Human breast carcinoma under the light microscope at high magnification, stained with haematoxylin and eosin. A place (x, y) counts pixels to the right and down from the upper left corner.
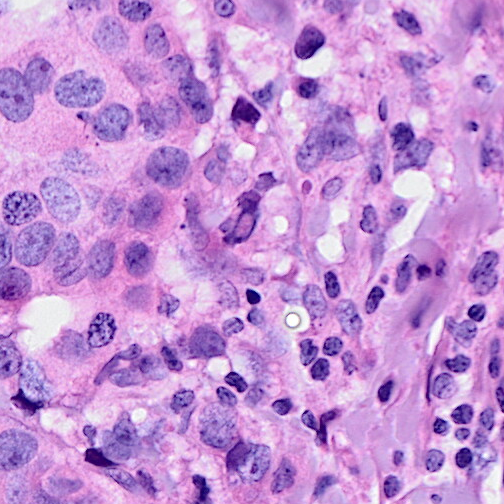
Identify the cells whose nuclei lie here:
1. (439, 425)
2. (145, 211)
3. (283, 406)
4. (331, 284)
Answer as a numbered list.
1. lymphocyte
2. carcinoma cell
3. lymphocyte
4. lymphocyte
